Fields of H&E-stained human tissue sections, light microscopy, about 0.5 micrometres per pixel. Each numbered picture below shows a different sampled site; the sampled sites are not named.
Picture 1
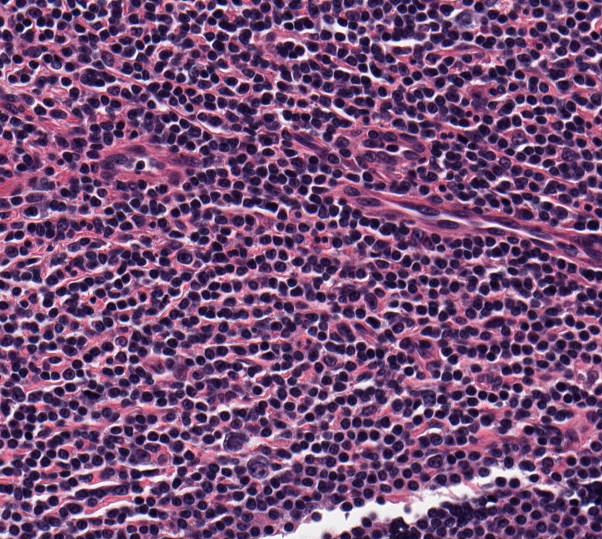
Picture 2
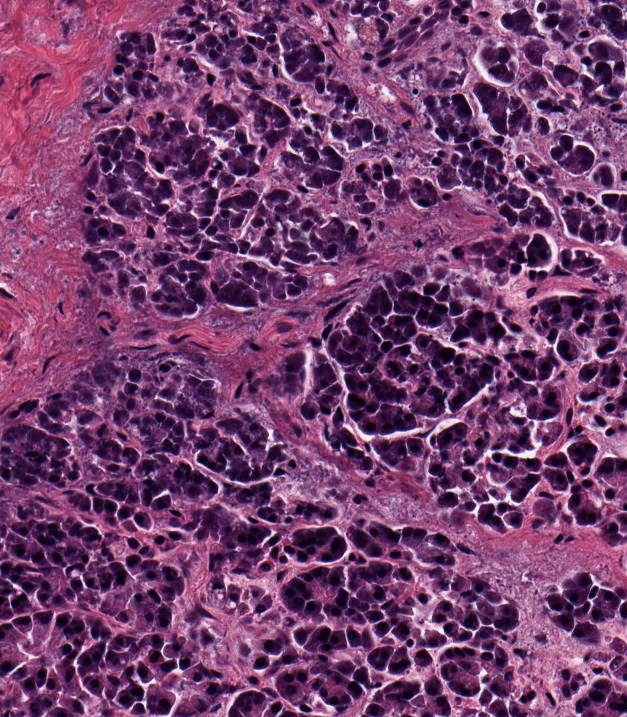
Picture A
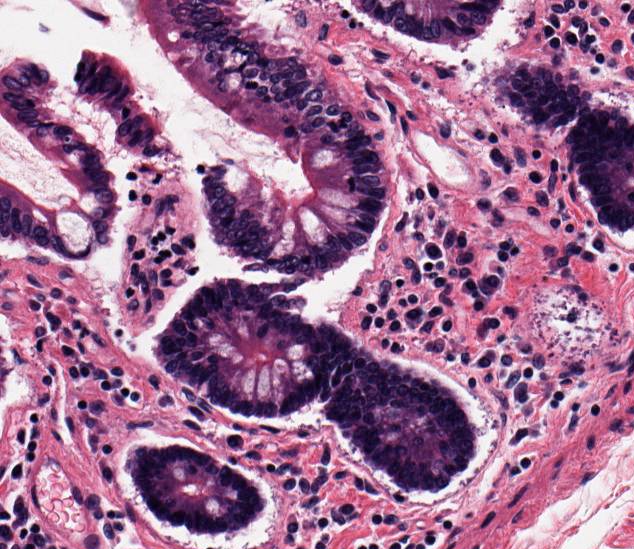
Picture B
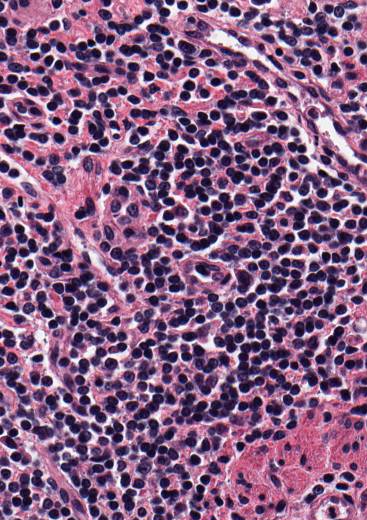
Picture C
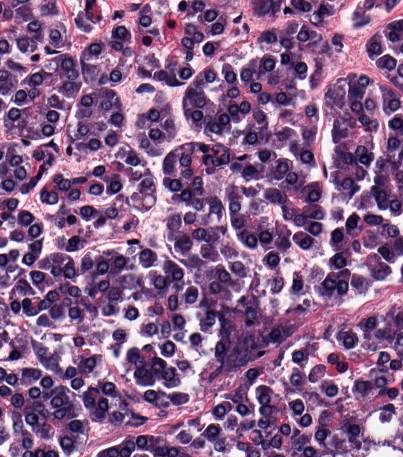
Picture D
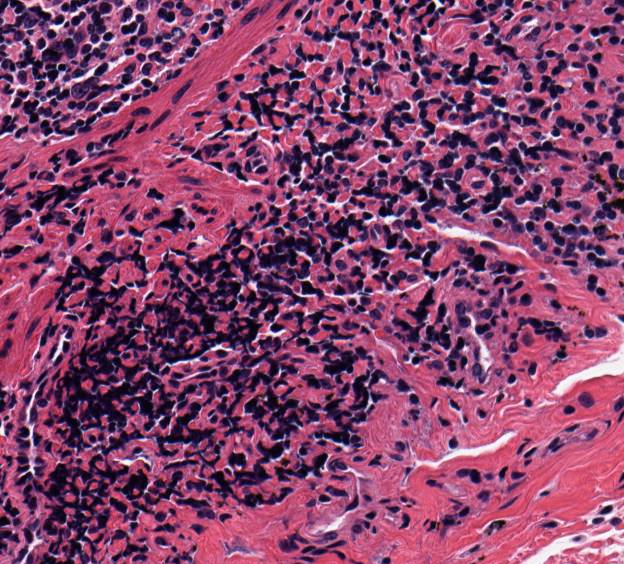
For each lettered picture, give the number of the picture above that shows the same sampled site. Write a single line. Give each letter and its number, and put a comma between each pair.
A 1, B 1, C 2, D 1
